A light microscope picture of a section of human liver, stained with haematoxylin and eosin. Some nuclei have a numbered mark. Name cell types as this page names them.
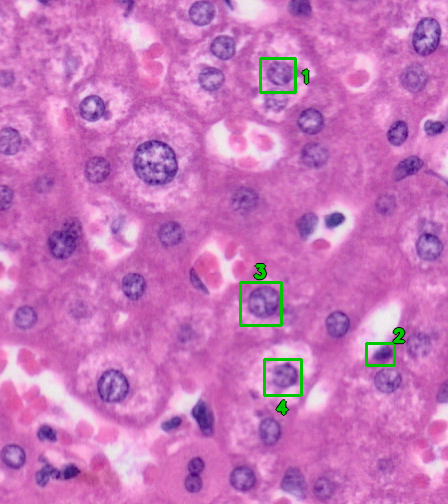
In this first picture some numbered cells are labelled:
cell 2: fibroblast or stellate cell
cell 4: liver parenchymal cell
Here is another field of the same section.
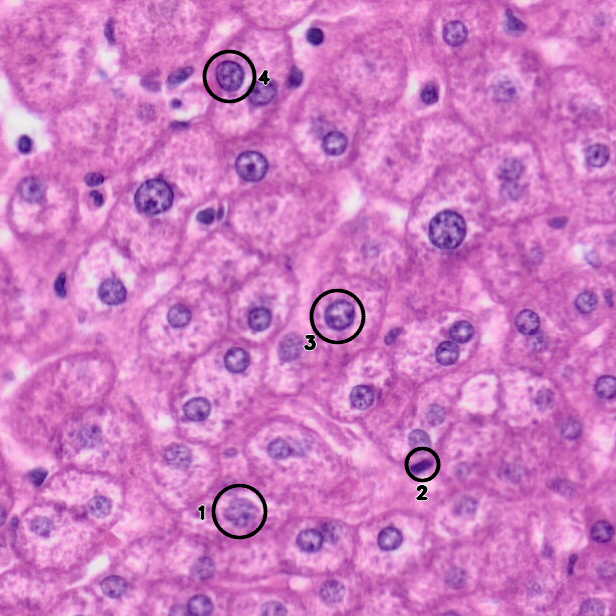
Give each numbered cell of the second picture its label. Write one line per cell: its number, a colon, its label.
1: liver parenchymal cell
2: fibroblast or stellate cell
3: liver parenchymal cell
4: liver parenchymal cell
